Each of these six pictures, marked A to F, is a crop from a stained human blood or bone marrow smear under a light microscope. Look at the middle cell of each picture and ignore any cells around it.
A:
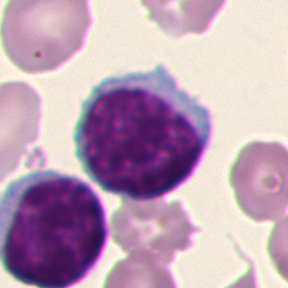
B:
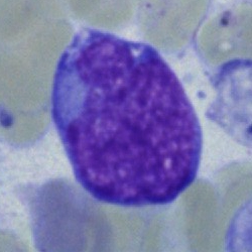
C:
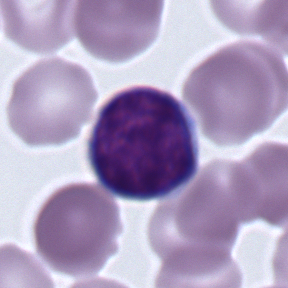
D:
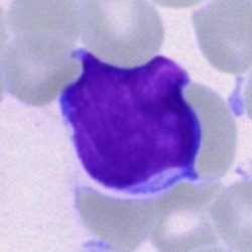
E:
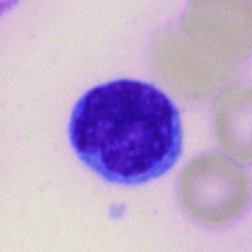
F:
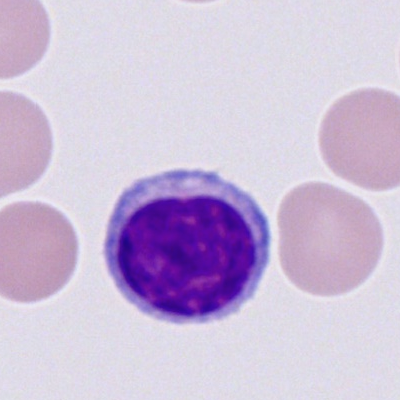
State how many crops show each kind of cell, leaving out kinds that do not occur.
lymphocyte: 4
blast: 2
